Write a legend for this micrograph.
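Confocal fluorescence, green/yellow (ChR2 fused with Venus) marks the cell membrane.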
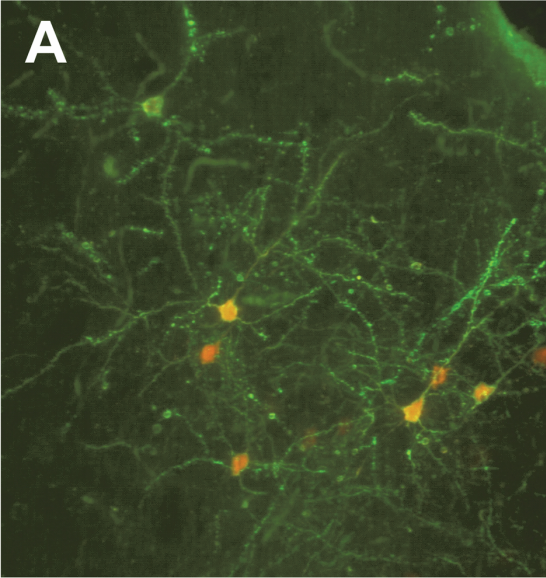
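The cell bodies are small and rounded to triangular, and several give off long, thin processes outlined in green. These processes branch repeatedly, taper as they extend, and look beaded along their length. They form a loose, criss-crossing meshwork over the dark background around the cell bodies.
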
